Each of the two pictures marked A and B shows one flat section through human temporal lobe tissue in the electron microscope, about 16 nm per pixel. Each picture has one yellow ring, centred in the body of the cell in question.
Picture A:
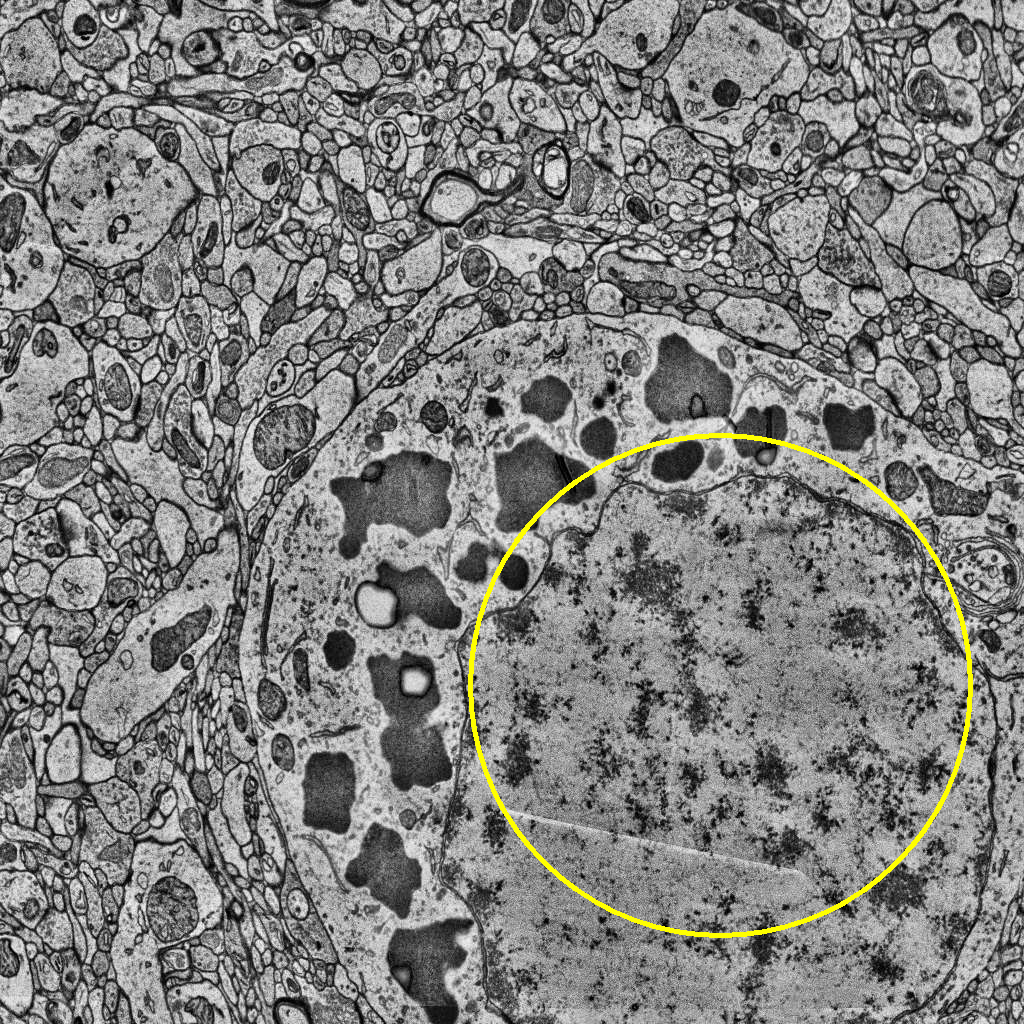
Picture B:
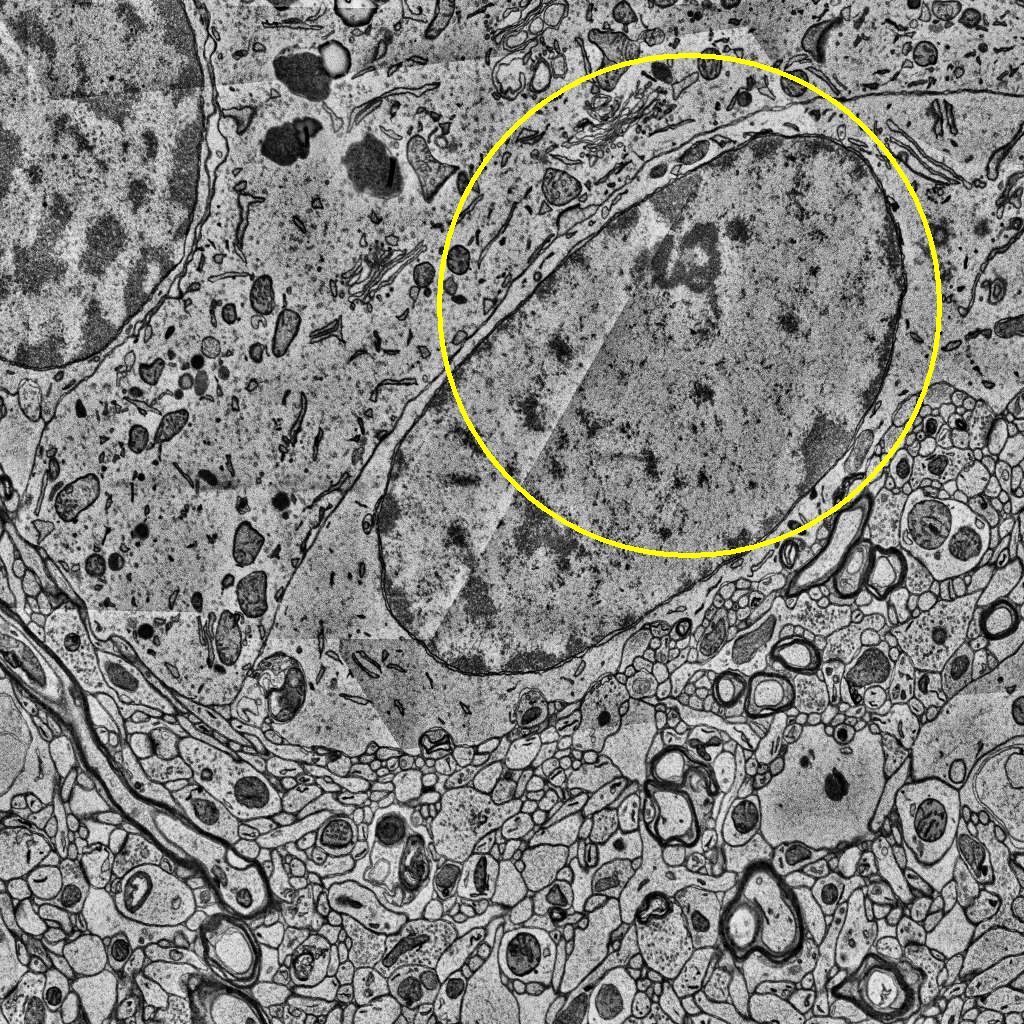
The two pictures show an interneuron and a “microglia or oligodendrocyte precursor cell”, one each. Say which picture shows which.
Picture A shows an interneuron and picture B shows a “microglia or oligodendrocyte precursor cell”.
